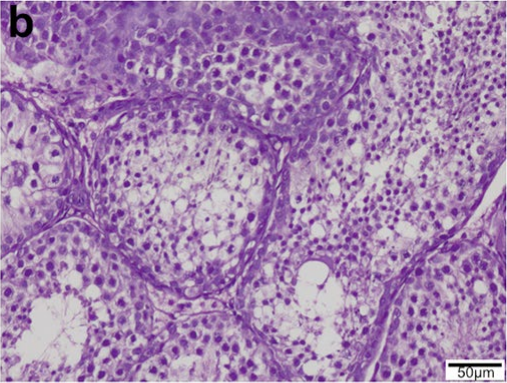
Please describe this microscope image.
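This section of gonad shows numerous seminiferous tubules cut in cross-section, each bounded by a thin purple-staining wall. The tubules are lined by several layers of cells with round, dark purple nuclei. The centres of many tubules look pale and foamy, with many clear vacuoles. Between the tubules lies interstitial tissue with scattered cells.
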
